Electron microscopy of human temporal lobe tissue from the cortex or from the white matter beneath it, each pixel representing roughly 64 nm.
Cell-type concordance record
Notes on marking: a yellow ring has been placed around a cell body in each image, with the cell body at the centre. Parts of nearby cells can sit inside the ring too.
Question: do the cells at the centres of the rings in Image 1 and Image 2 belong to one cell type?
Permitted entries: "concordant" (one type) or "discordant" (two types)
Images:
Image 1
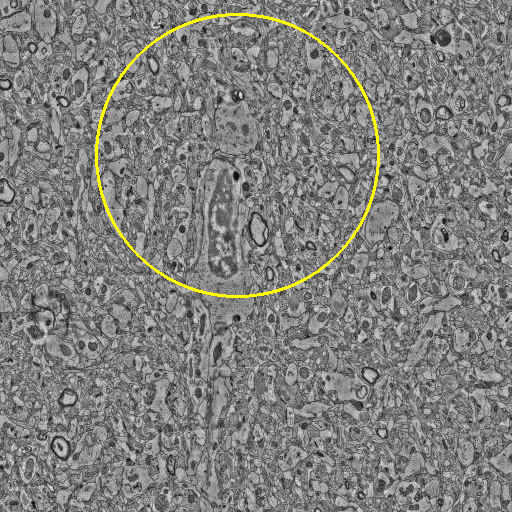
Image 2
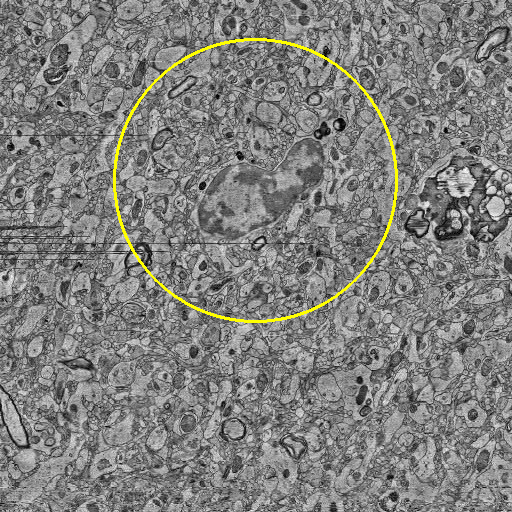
concordant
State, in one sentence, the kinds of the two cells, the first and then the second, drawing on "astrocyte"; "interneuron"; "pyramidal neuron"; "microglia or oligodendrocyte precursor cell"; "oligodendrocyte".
Each cell at the centre of a ring is a microglial cell or oligodendrocyte precursor cell.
